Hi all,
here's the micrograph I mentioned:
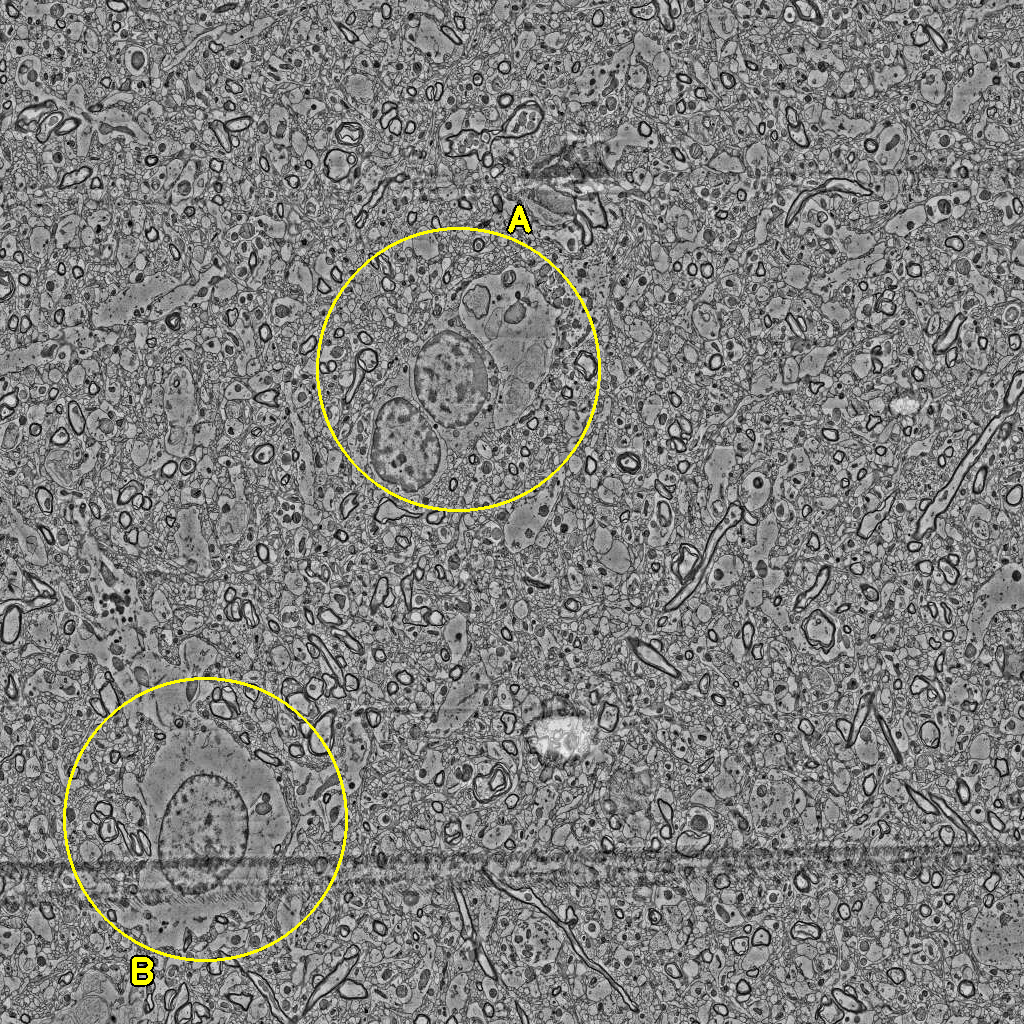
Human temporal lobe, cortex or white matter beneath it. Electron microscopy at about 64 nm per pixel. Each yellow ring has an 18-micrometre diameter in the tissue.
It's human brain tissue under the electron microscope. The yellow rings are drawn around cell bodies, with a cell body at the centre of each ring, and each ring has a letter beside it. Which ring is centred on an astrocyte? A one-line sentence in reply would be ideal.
It's the one labelled B.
